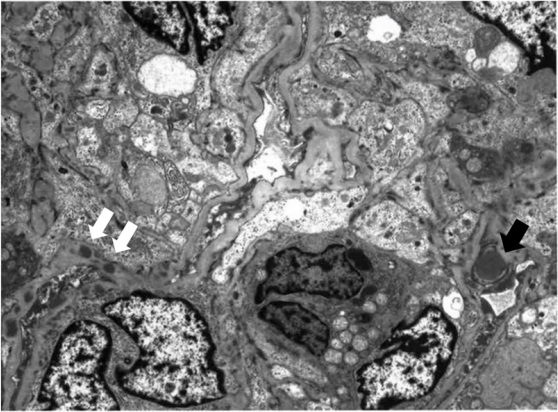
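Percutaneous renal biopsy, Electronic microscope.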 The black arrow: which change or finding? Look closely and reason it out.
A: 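Subepithelial dense deposit (hump. A rounded, dark, electron-dense mass lies at the arrow tip. The mass sits on the outer side of a capillary wall, toward the urinary space.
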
